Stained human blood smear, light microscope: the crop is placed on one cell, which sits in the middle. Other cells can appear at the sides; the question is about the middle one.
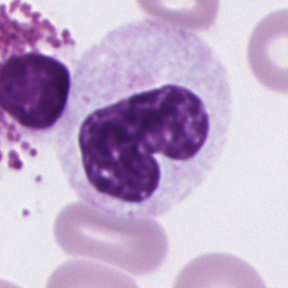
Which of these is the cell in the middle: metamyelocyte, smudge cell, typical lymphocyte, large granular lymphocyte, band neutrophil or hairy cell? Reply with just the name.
band neutrophil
